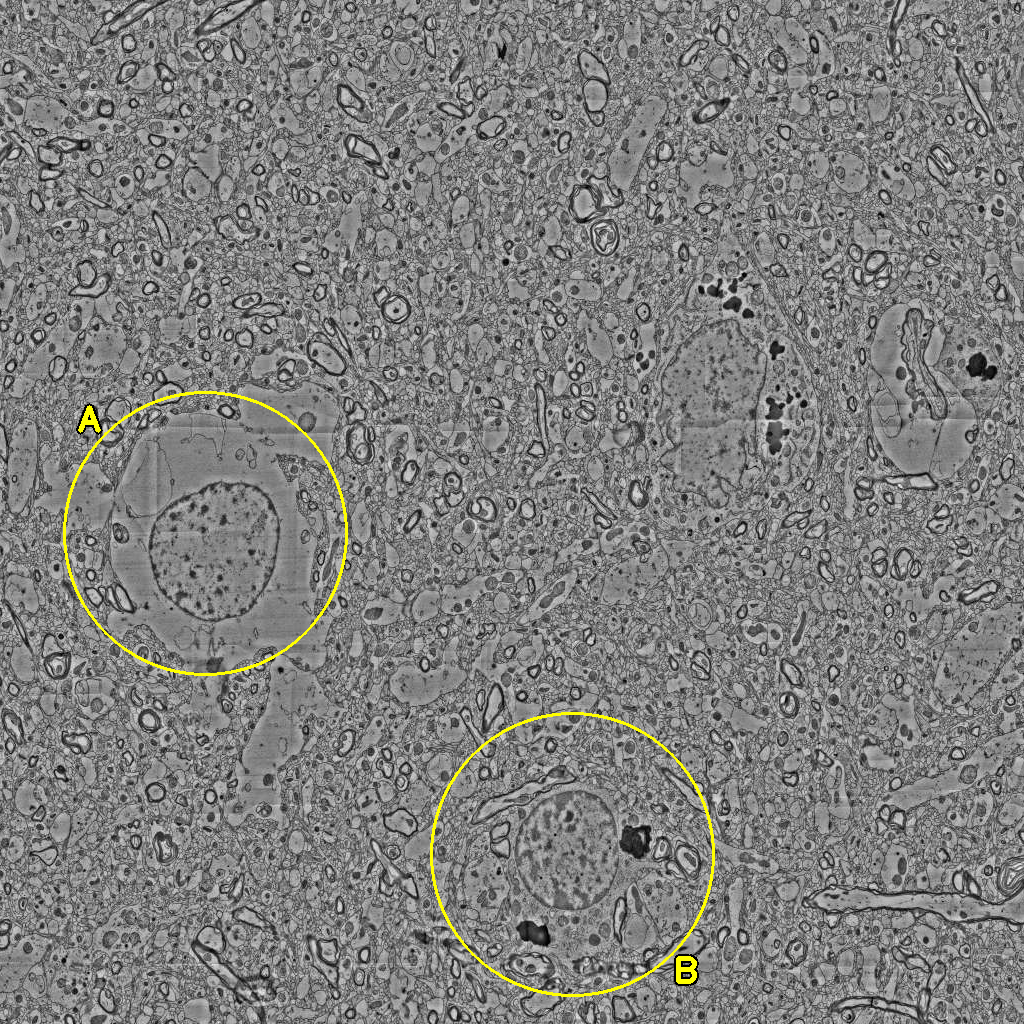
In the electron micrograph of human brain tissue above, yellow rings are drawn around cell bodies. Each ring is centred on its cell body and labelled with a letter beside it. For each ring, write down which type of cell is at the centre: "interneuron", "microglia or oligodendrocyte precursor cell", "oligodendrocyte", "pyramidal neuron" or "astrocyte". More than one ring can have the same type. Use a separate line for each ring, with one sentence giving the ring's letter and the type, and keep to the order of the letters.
At the centre of ring A there is an astrocyte.
At the centre of ring B there is an oligodendrocyte.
